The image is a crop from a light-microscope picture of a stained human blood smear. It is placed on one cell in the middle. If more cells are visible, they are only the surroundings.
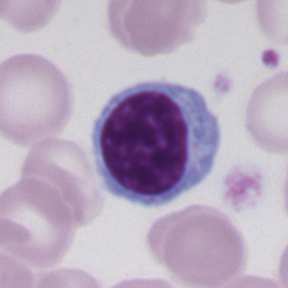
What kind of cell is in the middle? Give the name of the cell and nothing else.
lymphocyte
